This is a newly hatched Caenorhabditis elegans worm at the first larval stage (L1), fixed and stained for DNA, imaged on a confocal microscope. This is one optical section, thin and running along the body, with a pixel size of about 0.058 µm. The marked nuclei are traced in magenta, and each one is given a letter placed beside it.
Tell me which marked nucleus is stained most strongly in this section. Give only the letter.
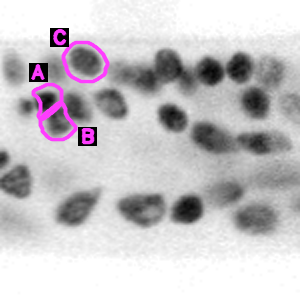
A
